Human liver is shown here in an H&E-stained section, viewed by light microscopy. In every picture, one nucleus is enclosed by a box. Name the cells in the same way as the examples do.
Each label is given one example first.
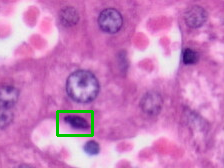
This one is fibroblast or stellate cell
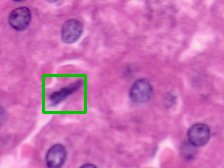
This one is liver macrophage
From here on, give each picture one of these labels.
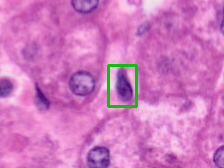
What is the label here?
liver macrophage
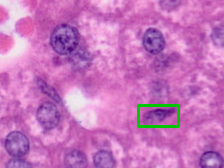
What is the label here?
fibroblast or stellate cell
